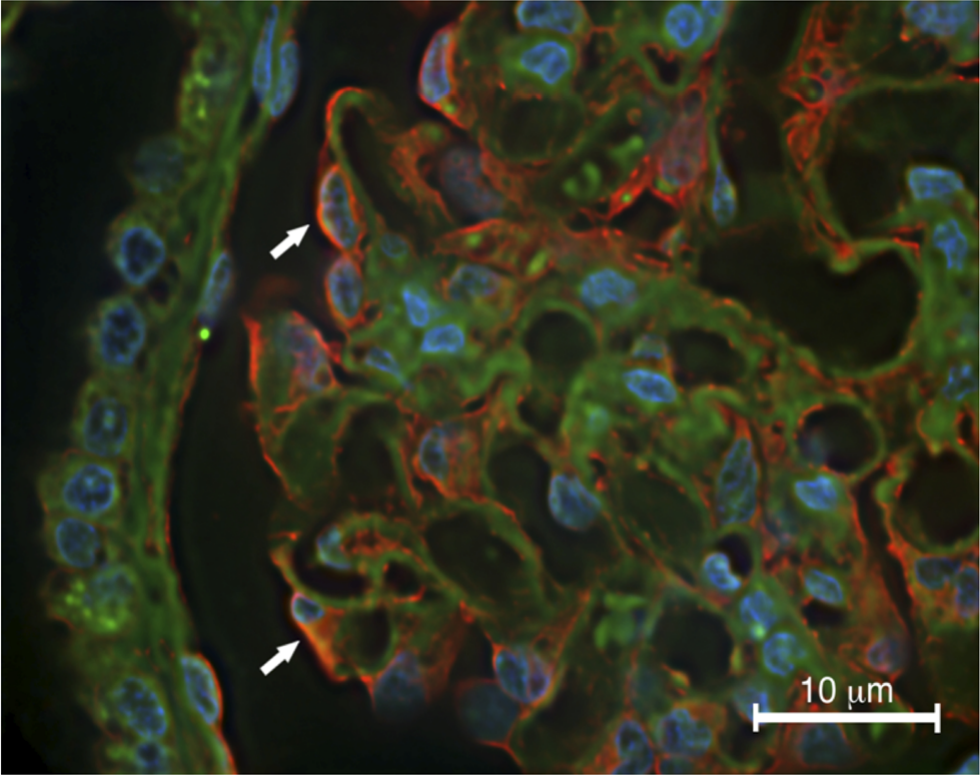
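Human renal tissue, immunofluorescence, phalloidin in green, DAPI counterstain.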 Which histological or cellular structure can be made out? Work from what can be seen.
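Glomerular capillary tufts. Many rounded, dark, empty loops are outlined by green and red walls. The loops are packed together into a lobulated mass with nuclei between them. A dark space separates this mass from a single layer of cells at the left.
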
